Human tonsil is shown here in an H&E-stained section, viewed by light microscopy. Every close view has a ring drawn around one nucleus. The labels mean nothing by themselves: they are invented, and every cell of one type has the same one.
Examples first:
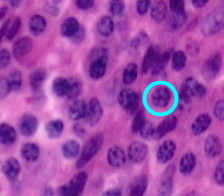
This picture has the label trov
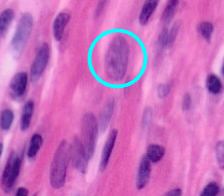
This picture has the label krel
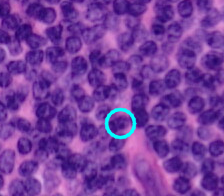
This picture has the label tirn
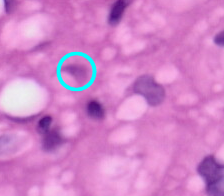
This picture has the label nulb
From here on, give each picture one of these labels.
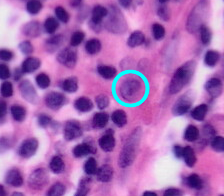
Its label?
krel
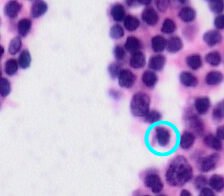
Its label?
tirn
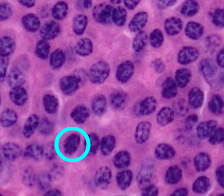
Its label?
trov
